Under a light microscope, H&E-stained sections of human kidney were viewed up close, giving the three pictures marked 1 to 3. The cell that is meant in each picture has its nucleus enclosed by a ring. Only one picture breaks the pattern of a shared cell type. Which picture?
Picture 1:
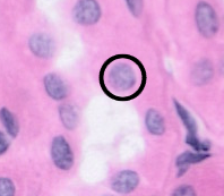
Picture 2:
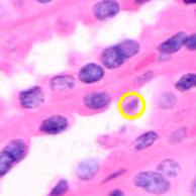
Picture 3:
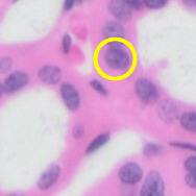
3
